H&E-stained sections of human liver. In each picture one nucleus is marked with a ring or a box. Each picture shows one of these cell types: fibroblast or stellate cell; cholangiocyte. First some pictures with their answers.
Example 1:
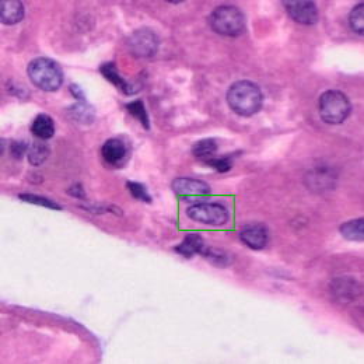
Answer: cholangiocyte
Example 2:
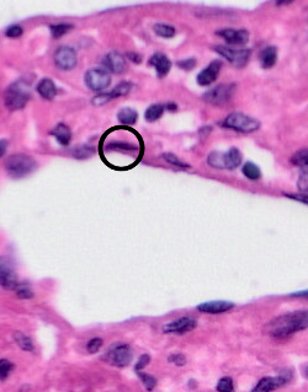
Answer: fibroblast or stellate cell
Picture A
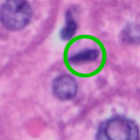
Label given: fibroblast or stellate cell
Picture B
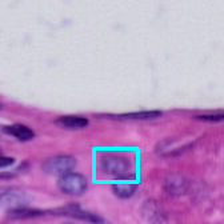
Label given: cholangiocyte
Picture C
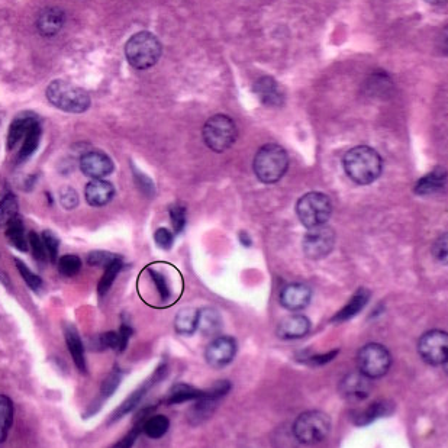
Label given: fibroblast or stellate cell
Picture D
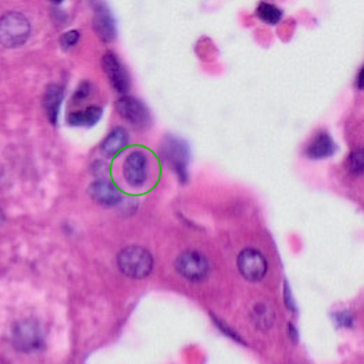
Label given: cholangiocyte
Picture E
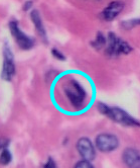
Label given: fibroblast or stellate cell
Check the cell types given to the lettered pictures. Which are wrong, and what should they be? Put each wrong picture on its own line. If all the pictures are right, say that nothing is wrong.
None of the labels needs changing.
